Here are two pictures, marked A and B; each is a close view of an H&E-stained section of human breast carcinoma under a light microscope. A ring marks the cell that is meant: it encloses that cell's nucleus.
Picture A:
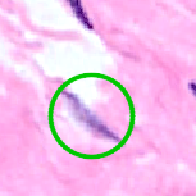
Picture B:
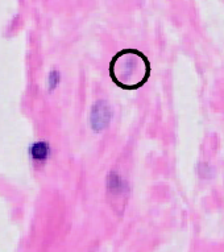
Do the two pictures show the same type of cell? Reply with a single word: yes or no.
yes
